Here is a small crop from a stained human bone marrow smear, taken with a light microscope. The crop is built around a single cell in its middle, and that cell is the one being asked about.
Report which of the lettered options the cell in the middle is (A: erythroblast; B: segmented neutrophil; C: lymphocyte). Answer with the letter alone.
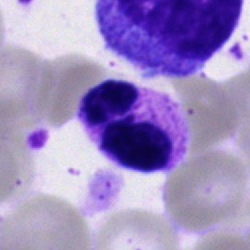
B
